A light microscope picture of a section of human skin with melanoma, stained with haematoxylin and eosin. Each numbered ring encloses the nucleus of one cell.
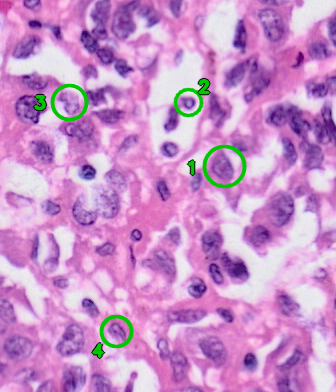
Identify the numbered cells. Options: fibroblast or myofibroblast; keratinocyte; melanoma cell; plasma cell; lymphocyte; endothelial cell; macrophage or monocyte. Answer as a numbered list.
1. melanoma cell
2. lymphocyte
3. melanoma cell
4. macrophage or monocyte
